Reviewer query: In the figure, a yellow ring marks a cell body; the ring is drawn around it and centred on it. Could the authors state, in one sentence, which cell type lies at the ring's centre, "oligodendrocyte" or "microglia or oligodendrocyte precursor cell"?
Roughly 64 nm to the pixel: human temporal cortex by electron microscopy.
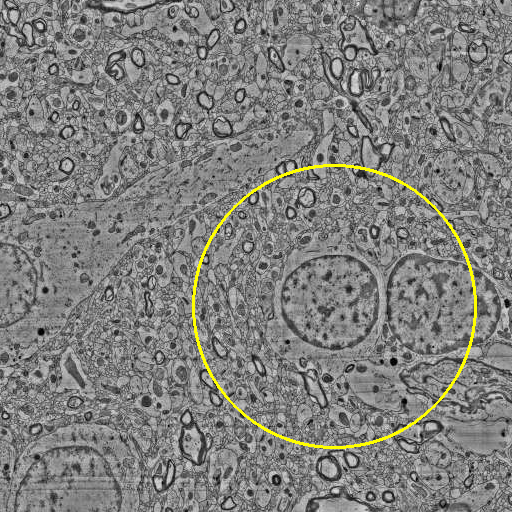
The ring is centred on a microglial cell or oligodendrocyte precursor cell.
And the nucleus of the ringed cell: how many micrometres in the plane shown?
The ringed cell's nucleus is about 6 micrometres across in this plane.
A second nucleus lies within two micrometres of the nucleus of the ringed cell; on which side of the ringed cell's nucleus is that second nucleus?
That other nucleus appears to the right of it.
